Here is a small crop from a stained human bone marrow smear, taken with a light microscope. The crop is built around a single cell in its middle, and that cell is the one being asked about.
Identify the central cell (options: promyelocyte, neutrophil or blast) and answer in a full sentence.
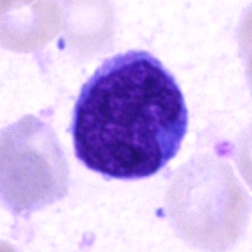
The cell marked by its central position in the crop is a blast.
